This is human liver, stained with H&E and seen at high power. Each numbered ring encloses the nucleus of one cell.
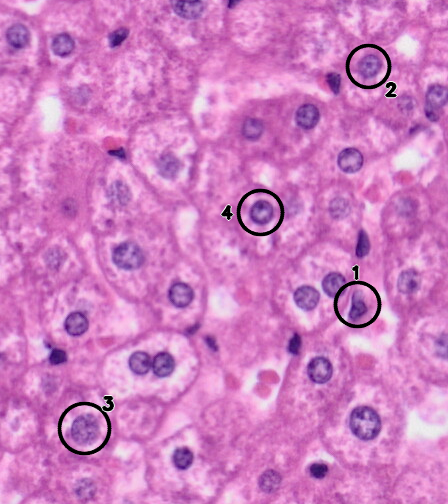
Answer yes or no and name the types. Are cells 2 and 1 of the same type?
No, cell 1 is a Kupffer cell, and cell 2 is a hepatocyte.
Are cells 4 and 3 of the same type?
Yes, both cells, 4 and 3, are hepatocytes.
